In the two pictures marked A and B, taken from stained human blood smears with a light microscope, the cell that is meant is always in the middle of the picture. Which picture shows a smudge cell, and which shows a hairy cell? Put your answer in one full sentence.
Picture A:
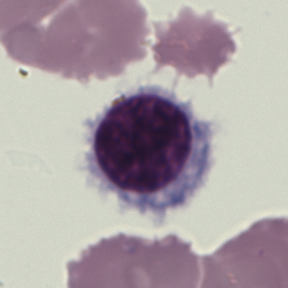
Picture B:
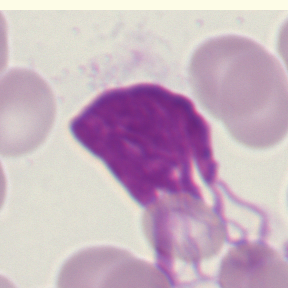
Picture A shows a hairy cell and picture B shows a smudge cell.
